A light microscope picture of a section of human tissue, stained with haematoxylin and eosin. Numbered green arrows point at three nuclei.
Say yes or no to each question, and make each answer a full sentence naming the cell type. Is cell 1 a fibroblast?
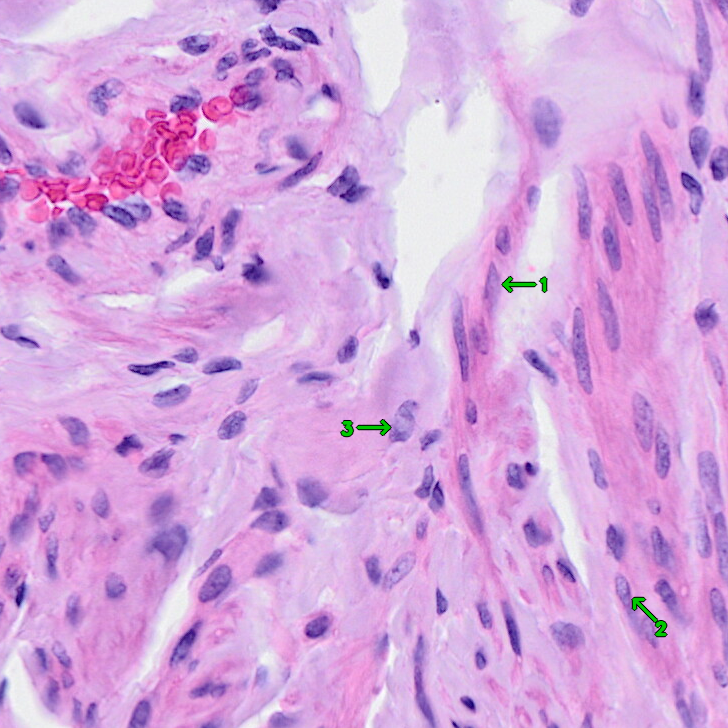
No, the cell marked 1 is a smooth muscle cell rather than a fibroblast.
